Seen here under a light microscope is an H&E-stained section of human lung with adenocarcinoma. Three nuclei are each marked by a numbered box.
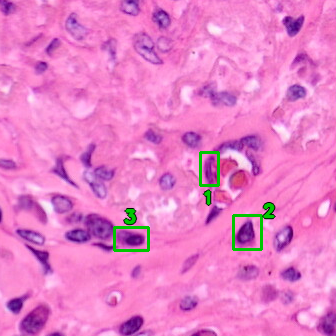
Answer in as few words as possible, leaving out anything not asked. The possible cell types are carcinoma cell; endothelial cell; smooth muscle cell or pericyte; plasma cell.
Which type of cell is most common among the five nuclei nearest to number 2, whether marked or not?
endothelial cell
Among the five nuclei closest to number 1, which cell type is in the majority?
endothelial cell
